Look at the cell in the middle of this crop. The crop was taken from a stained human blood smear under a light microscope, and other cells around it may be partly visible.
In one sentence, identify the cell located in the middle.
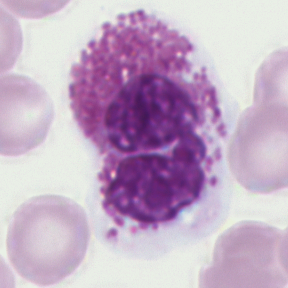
The centrally placed cell is classified as an eosinophil.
